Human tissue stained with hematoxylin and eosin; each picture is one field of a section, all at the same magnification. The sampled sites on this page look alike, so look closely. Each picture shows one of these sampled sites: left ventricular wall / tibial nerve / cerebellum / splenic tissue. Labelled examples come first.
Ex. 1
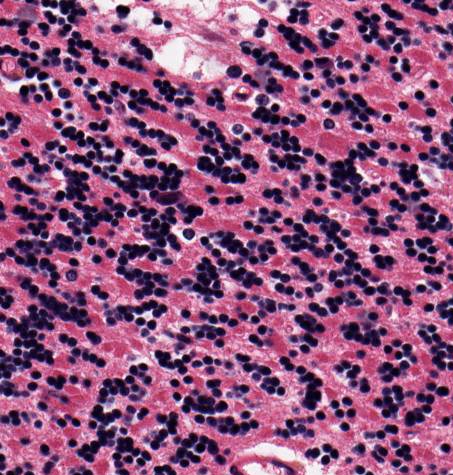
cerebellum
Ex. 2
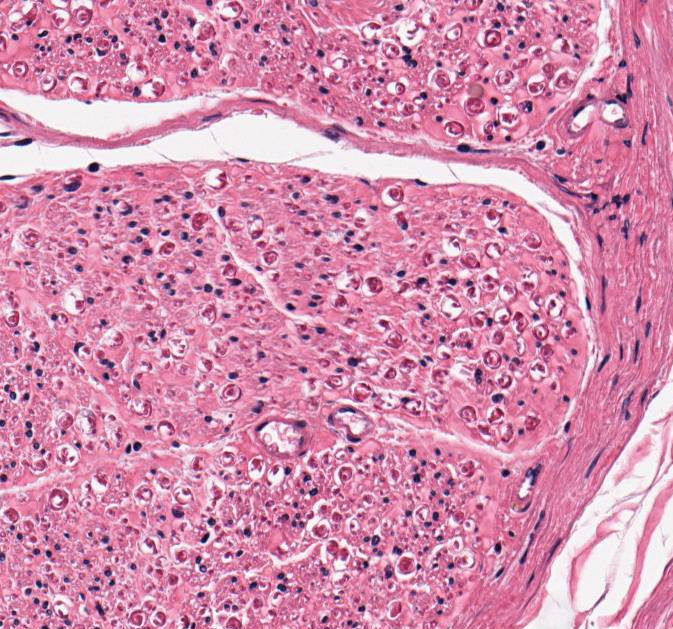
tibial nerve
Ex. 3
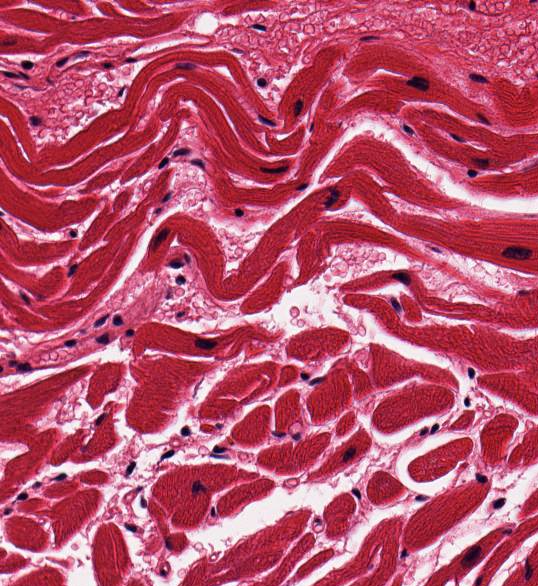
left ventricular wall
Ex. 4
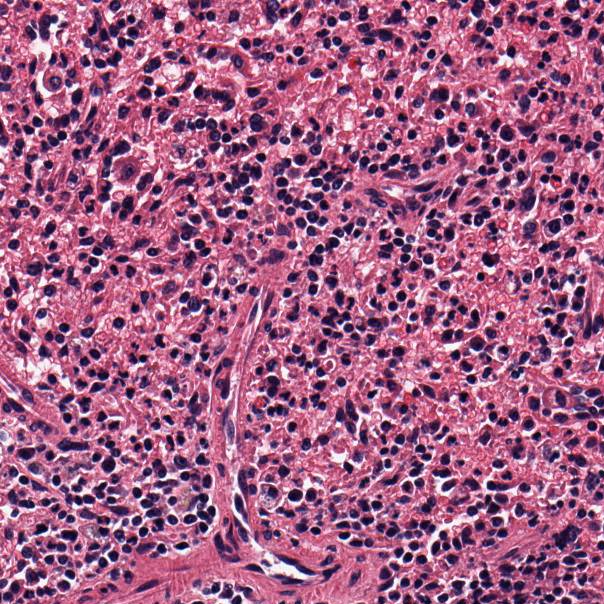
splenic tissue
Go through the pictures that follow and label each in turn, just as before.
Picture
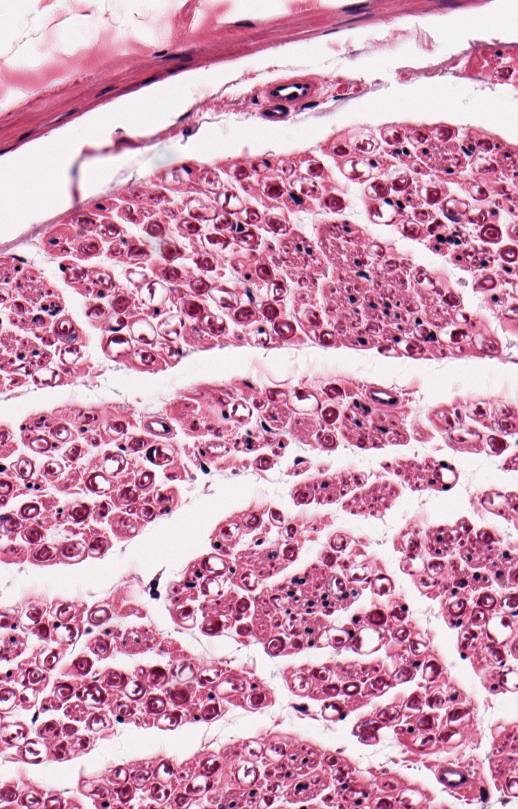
tibial nerve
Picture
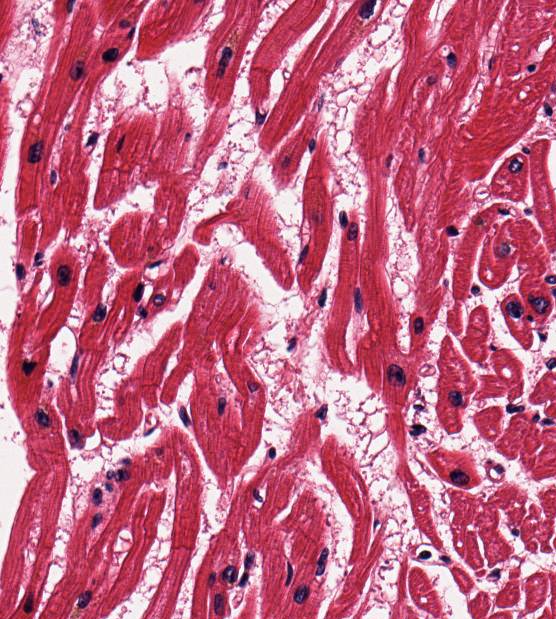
left ventricular wall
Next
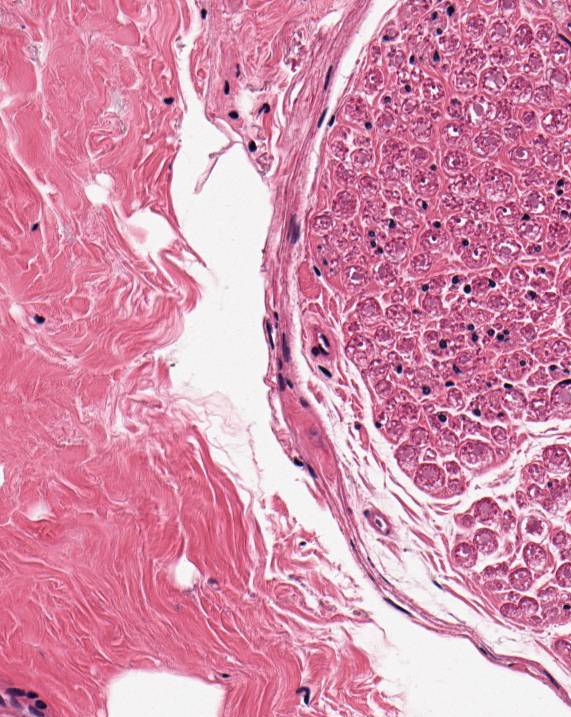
tibial nerve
